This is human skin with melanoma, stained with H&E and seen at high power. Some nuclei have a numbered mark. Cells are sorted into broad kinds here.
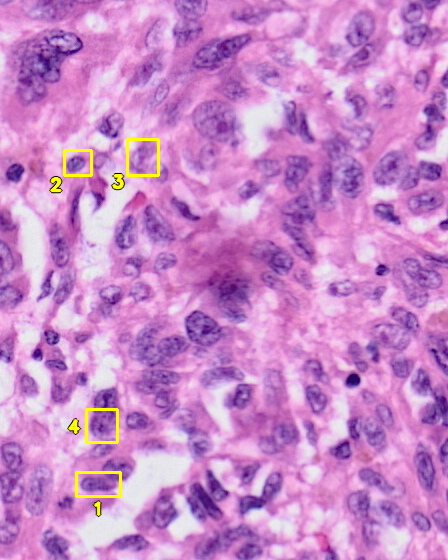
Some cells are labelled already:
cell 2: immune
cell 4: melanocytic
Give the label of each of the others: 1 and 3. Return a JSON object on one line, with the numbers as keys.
{"1": "melanocytic", "3": "melanocytic"}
